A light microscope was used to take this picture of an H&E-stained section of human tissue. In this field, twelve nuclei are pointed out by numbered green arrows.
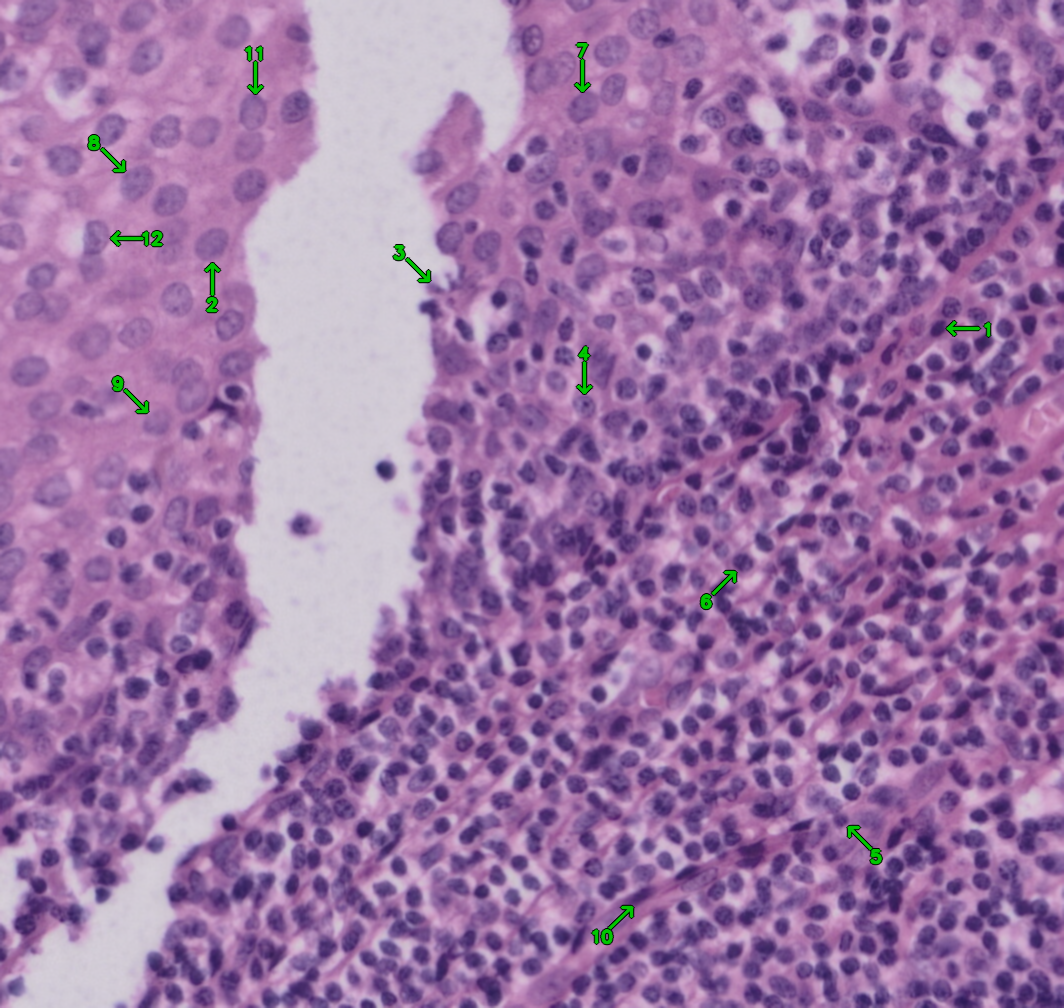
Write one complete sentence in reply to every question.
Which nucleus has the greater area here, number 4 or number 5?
Nucleus 4 covers more area, about 2 times as much as nucleus 5.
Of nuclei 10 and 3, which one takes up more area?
Nucleus 10 covers more area, about 2.5 times as much as nucleus 3.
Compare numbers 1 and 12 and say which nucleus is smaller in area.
Nucleus 1 covers less area, with nucleus 12 about 4 times as large.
